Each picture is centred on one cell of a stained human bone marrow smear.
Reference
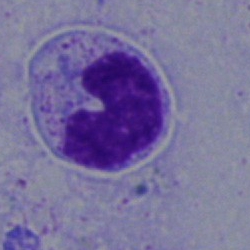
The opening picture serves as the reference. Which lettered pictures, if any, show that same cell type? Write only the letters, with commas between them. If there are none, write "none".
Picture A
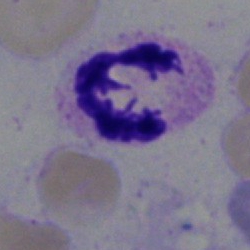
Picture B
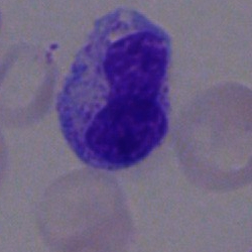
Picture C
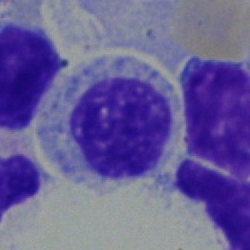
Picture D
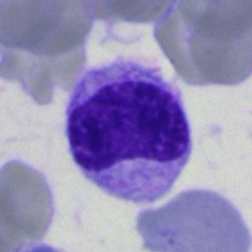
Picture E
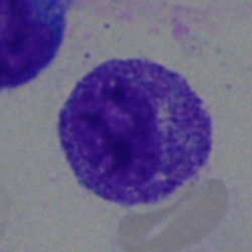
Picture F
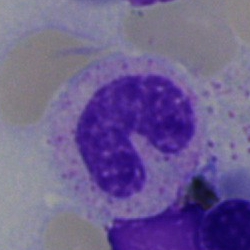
F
